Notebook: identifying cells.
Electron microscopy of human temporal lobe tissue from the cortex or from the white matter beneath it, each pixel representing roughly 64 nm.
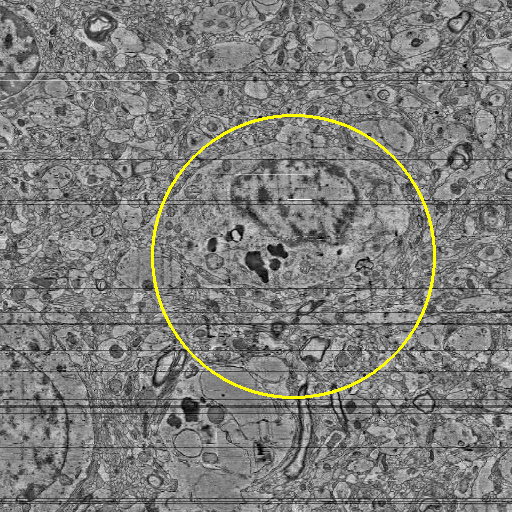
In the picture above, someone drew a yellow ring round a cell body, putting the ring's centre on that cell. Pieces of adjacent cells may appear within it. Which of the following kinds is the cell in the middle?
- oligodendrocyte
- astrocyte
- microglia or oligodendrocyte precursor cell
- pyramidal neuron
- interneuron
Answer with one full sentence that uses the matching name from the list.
In this picture, the yellow ring is centred on the body of an interneuron.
